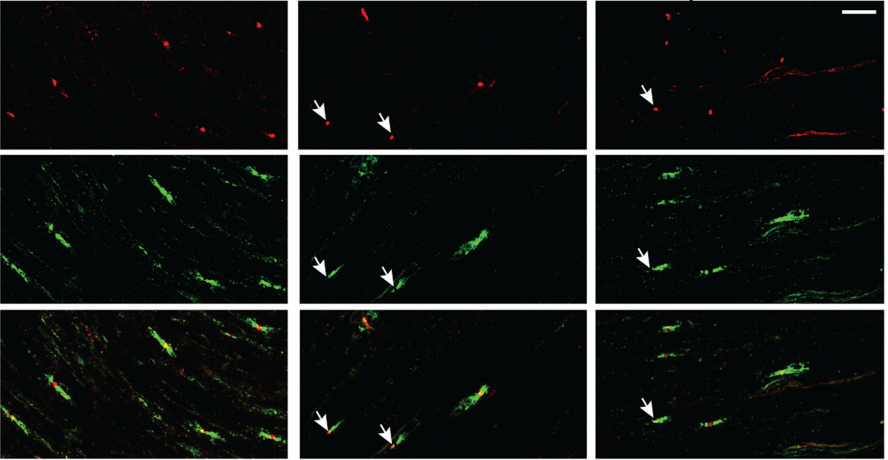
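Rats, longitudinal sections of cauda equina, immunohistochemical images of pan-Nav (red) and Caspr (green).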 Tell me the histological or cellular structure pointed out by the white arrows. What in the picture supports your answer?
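Heminodes. Arrows point to small red dots flanked by green on only one side. Elsewhere, red dots sit between green segments on both sides.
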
